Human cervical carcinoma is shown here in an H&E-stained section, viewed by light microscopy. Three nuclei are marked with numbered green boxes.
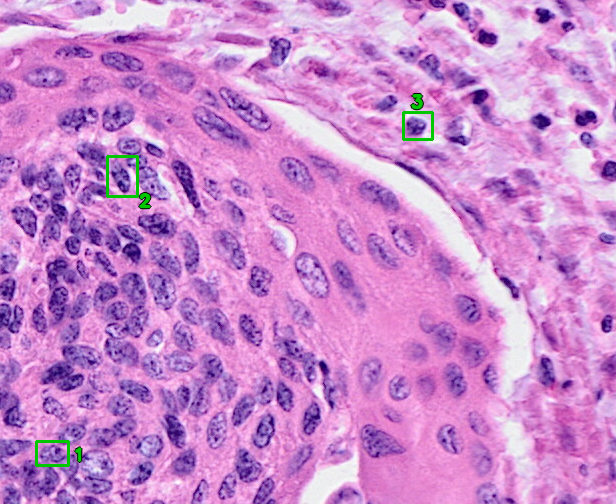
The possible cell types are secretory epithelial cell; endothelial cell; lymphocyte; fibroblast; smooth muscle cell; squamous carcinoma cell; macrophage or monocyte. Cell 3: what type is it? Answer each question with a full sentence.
That cell with number 3 is a lymphocyte.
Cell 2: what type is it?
The expected answer is that cell 2 is a squamous carcinoma cell.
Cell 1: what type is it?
The cell identified by the number 1 is a squamous carcinoma cell.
